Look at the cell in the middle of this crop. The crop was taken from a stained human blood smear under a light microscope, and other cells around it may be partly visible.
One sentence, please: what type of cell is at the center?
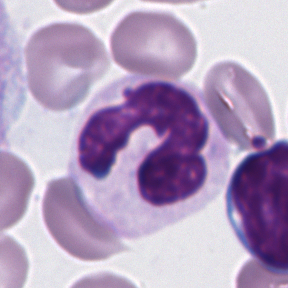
In short, the cell at the center is a band neutrophil.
